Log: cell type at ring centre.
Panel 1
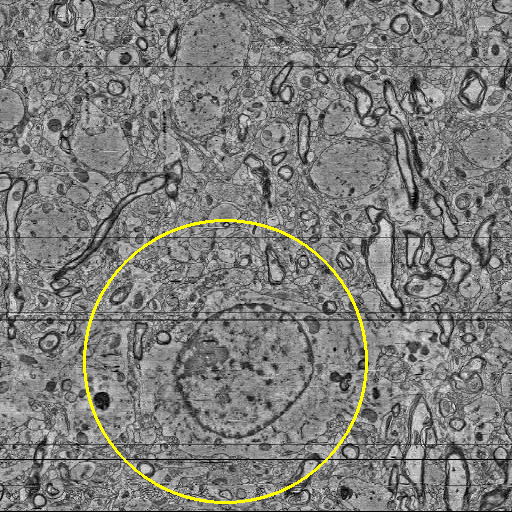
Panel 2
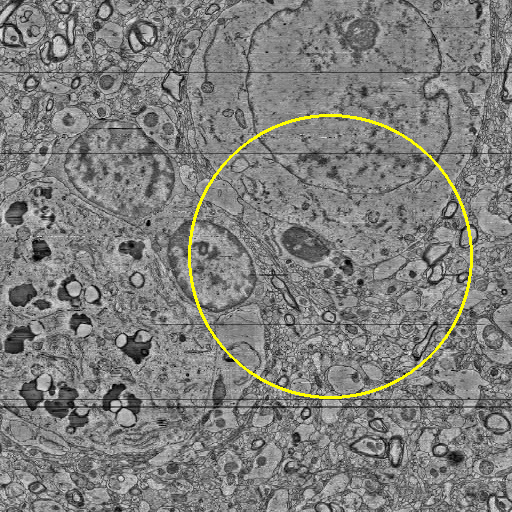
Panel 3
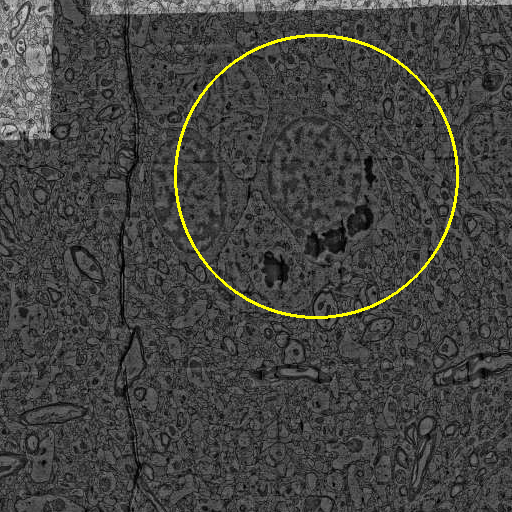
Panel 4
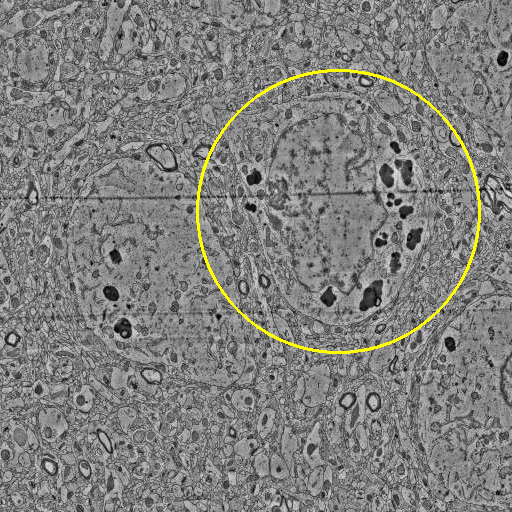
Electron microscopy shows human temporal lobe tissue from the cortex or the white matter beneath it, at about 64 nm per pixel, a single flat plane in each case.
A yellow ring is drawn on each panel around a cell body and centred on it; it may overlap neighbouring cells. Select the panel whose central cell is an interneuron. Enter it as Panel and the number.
Panel 4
